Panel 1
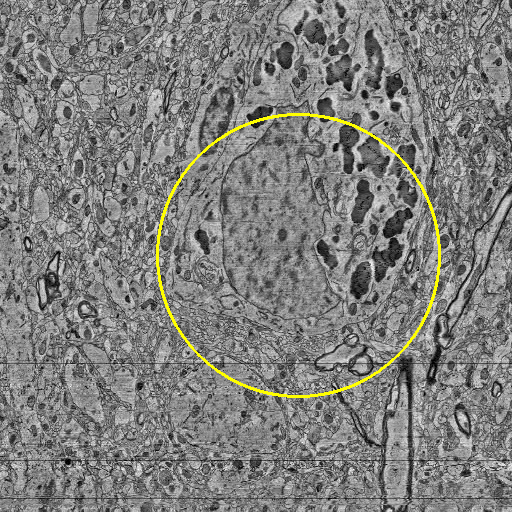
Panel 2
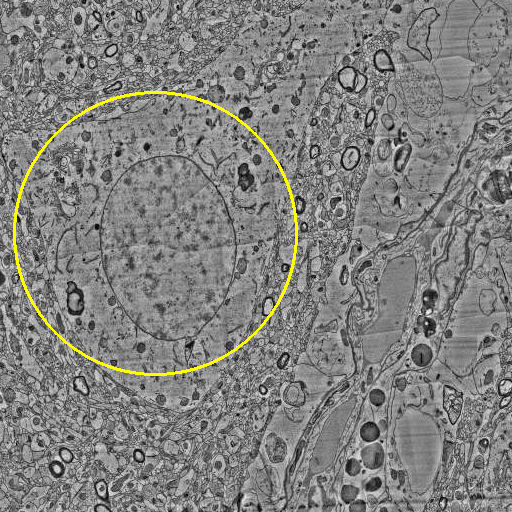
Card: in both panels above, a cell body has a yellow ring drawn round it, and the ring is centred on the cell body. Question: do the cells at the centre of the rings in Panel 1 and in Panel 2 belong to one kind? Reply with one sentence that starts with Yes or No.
No, the cells centred in the rings of Panel 1 and Panel 2 are two kinds of cell.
